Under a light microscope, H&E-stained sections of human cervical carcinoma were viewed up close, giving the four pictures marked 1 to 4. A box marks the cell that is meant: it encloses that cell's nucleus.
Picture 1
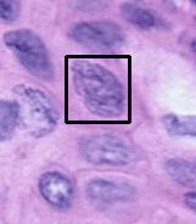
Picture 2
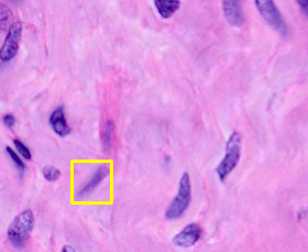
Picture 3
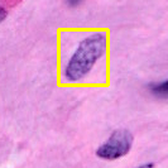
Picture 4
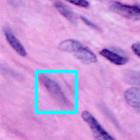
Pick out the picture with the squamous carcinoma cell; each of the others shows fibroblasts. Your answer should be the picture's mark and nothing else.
1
